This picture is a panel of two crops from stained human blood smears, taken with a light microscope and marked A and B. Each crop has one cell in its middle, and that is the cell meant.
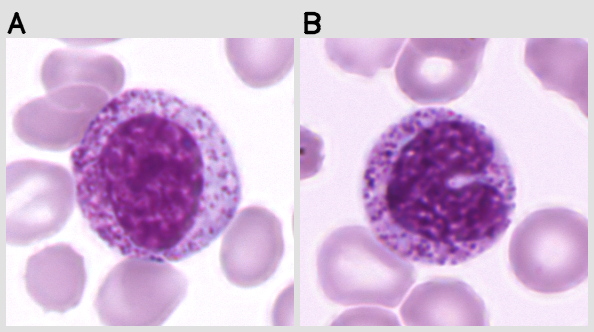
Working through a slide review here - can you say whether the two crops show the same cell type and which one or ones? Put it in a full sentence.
No, crop A and crop B contain, respectively, a metamyelocyte and a band neutrophil.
